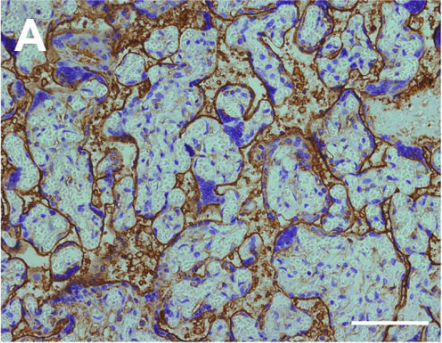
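This is densely packed placental villous tissue with many villi crowded close together. A brown-stained syncytiotrophoblast layer outlines each villus, and brown material also fills much of the narrow spaces between them. Blue nuclei lie along the villus borders, some gathered into dark clusters, and scattered in the pale stroma within. The villus cores are mostly unstained and look pale green-grey.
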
